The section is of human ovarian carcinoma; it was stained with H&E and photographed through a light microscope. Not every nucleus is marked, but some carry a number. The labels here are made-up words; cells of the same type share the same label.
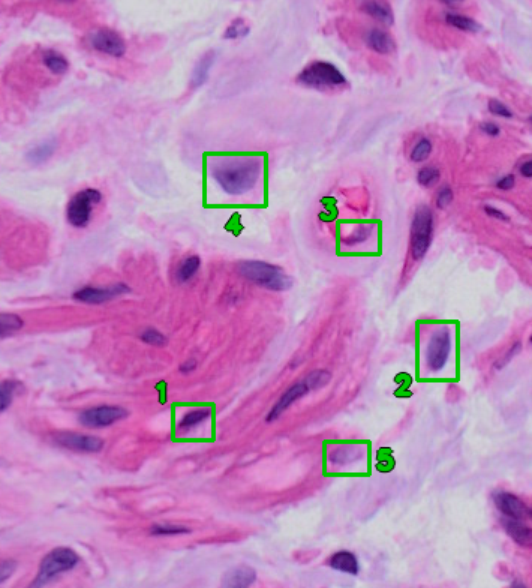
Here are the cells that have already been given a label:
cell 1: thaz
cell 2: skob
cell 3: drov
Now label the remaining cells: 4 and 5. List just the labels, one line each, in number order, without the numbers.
skob
thaz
